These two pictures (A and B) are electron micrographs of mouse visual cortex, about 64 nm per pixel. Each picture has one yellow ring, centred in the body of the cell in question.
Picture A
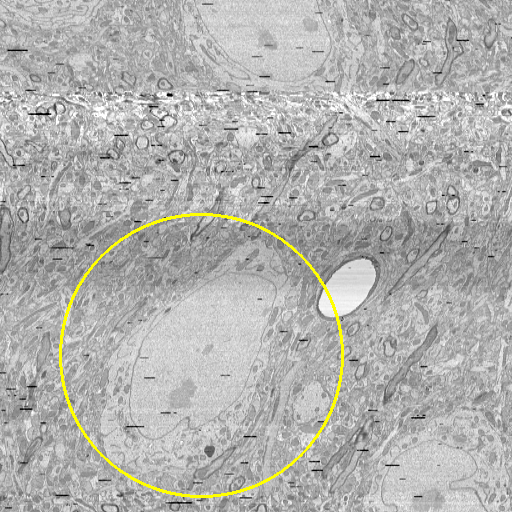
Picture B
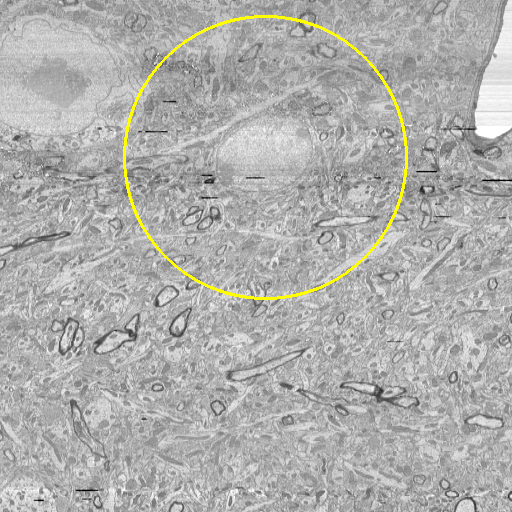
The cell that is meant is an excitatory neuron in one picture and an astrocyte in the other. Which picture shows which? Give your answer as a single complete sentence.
In picture A the cell is an excitatory neuron; in picture B, an astrocyte.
